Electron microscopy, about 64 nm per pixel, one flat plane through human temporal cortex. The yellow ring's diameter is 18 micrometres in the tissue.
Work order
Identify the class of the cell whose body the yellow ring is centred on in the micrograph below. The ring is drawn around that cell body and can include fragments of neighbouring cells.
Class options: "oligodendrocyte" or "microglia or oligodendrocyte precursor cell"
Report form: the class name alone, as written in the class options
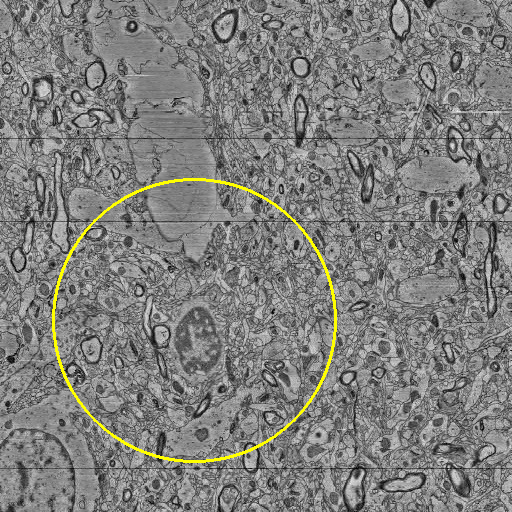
oligodendrocyte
